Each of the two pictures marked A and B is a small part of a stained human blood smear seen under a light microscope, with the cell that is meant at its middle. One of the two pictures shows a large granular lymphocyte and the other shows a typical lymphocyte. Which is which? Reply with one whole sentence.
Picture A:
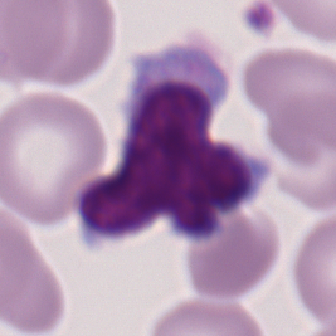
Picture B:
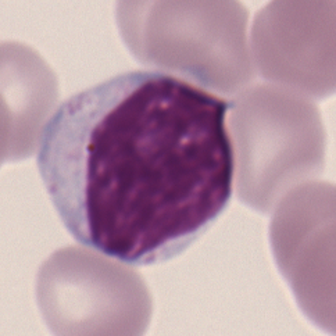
In picture A the cell is a typical lymphocyte; in picture B, a large granular lymphocyte.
